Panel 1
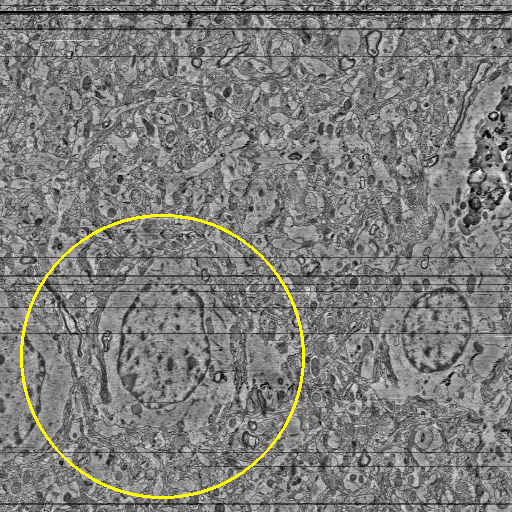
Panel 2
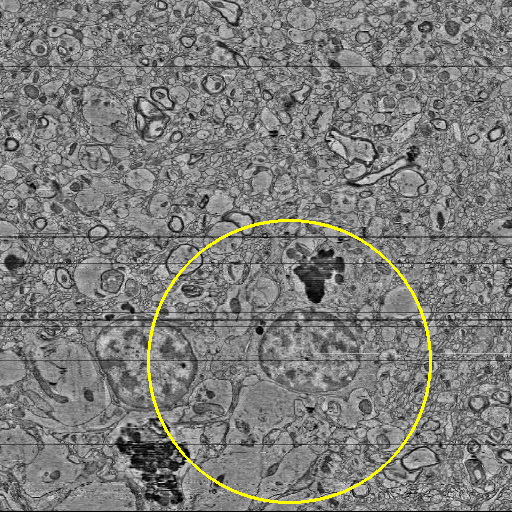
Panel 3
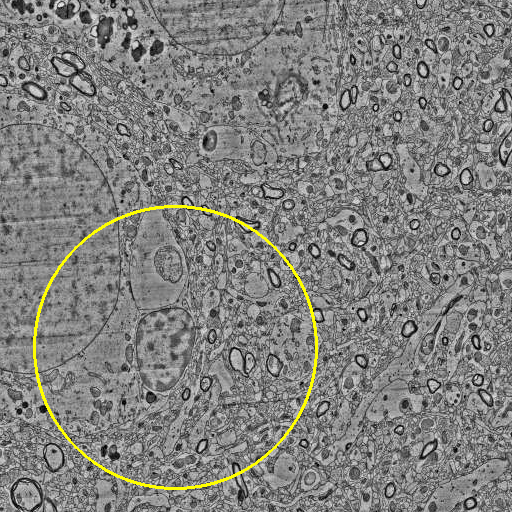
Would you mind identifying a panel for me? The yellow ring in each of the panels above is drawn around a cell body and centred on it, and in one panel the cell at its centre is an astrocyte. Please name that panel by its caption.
Panel 1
